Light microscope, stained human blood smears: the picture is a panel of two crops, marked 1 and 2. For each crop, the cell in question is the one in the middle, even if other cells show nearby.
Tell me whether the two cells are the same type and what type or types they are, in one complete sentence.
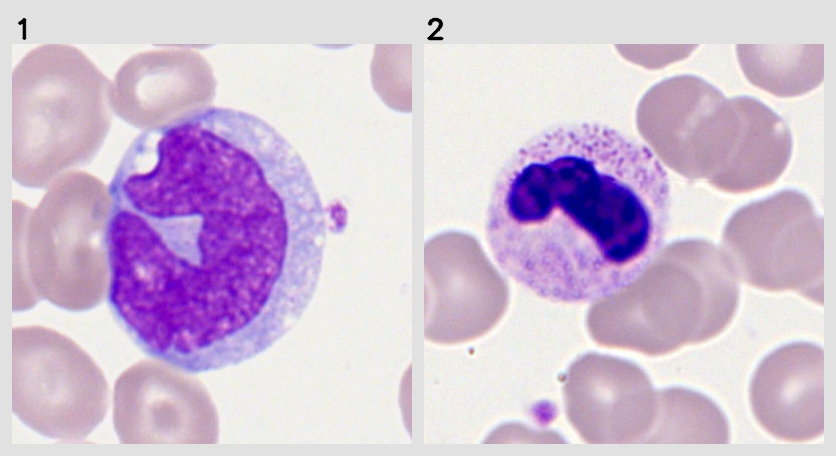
No, crop 1 shows a monocyte, whereas in crop 2 the cell is a segmented neutrophil.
